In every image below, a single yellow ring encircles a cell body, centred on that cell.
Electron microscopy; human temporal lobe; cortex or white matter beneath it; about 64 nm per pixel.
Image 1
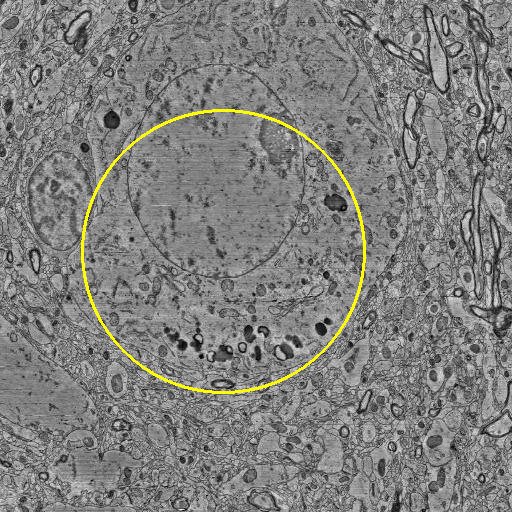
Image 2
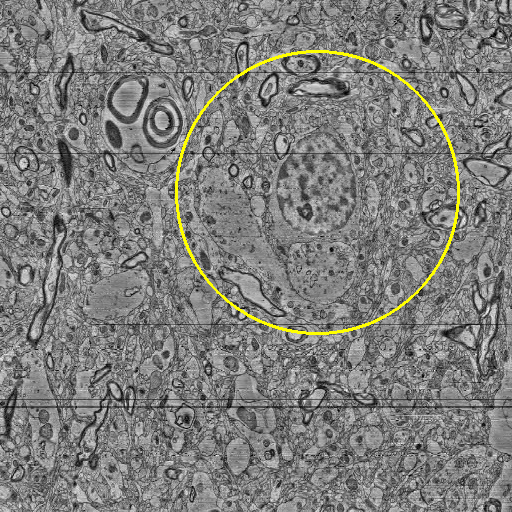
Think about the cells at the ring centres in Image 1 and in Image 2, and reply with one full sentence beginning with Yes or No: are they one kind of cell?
No, the cells centred in the rings of Image 1 and Image 2 are two kinds of cell.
